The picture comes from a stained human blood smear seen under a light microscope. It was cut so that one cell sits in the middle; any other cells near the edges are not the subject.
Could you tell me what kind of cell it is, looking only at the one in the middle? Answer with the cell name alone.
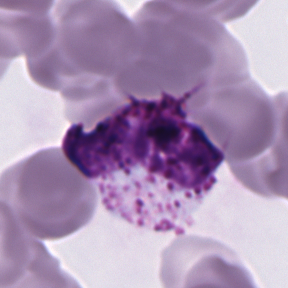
basophil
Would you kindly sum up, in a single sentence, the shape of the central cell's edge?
This cell has an uneven outline, either ragged or bearing projections.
